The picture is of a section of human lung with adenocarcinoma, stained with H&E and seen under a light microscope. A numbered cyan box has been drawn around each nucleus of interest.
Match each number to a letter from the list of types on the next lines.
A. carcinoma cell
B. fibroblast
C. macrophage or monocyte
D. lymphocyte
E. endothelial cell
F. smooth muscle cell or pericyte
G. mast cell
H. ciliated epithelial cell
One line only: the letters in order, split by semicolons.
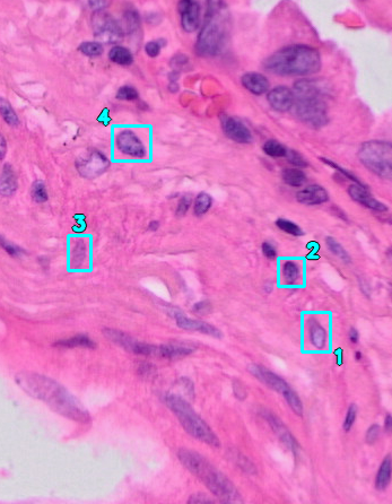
F; F; F; G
